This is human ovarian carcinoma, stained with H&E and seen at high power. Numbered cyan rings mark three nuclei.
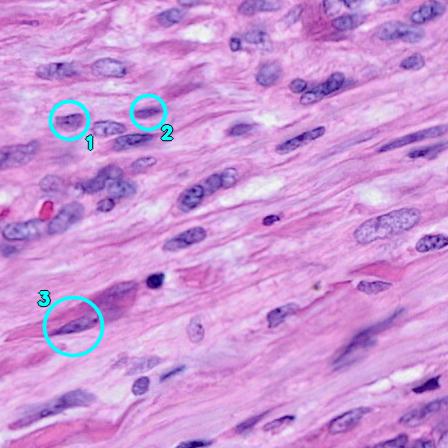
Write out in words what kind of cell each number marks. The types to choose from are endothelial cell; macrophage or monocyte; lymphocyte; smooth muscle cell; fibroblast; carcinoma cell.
Cells 1 and 2 are fibroblasts. Cell 3 is a smooth muscle cell.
